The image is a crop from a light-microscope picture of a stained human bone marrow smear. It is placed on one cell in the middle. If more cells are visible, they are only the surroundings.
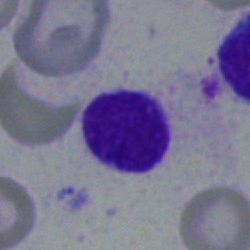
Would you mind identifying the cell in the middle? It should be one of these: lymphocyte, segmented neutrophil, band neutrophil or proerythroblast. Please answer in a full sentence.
The cell in the exact centre of the crop is a lymphocyte.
